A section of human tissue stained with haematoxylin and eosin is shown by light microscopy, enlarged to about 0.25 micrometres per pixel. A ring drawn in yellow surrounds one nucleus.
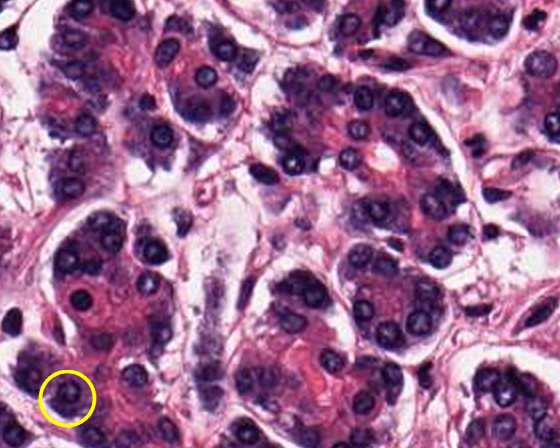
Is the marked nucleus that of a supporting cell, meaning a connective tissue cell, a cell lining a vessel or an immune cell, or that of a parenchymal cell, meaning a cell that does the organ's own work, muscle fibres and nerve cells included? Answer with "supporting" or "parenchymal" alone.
parenchymal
